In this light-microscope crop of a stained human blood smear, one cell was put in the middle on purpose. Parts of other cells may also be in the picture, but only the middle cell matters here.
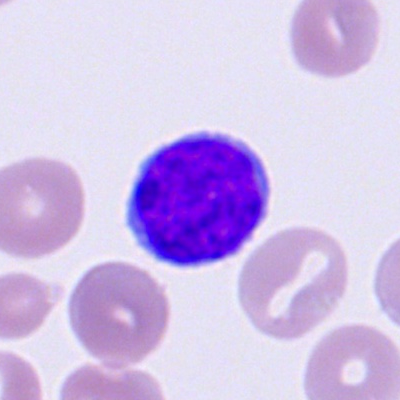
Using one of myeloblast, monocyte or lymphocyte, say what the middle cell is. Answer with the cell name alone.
lymphocyte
